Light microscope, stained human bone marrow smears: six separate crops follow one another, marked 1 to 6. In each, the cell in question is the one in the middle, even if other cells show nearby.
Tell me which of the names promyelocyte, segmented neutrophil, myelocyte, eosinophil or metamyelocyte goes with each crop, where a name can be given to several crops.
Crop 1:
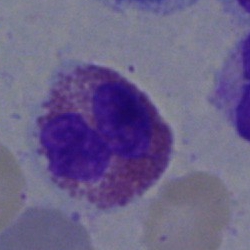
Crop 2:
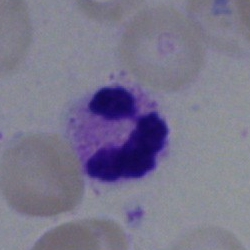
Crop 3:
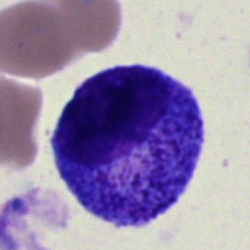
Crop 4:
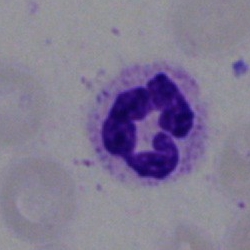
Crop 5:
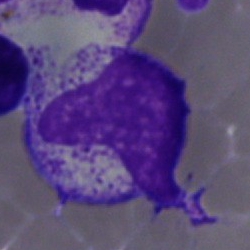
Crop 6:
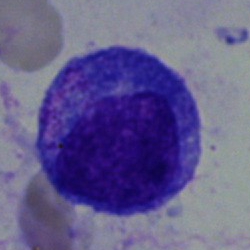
1: eosinophil
2: segmented neutrophil
3: promyelocyte
4: segmented neutrophil
5: metamyelocyte
6: promyelocyte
